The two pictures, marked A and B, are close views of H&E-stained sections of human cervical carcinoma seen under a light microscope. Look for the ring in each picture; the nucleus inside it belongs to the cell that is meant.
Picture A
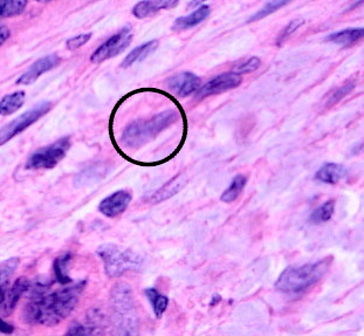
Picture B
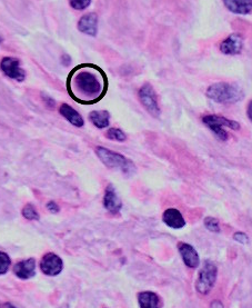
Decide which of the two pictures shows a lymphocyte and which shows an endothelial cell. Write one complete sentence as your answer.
It is picture A that shows an endothelial cell, and picture B that shows a lymphocyte.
